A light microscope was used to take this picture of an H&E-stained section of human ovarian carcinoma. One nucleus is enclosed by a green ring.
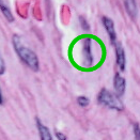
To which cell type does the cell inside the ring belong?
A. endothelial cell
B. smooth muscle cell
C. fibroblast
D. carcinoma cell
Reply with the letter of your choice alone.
C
